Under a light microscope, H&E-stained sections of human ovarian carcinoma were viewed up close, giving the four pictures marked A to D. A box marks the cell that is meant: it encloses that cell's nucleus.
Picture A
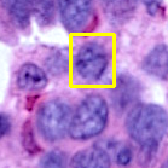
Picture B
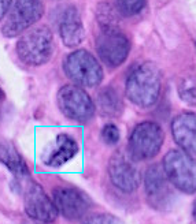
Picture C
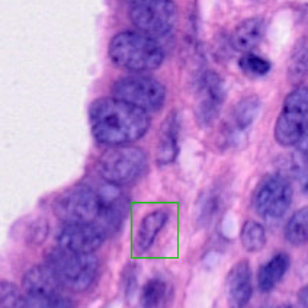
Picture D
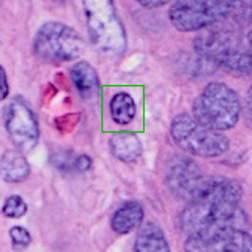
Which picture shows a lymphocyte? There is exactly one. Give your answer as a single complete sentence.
Picture D shows the lymphocyte.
